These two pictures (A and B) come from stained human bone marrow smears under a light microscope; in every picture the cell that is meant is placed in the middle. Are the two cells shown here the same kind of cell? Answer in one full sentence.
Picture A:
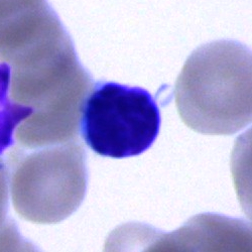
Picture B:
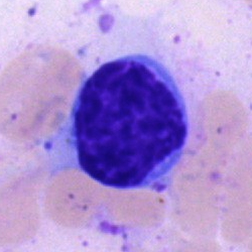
Yes, the two pictures both show lymphocytes.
